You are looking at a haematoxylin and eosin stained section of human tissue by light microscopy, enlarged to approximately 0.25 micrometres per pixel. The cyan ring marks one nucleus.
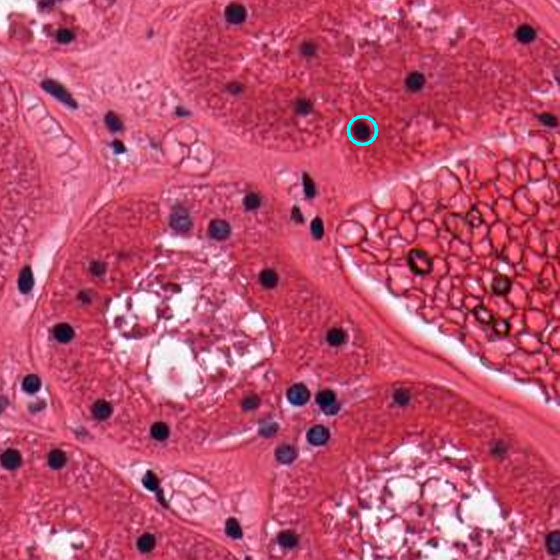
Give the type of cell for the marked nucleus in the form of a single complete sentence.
The marked nucleus is one that belongs to a proximal tubule cell.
